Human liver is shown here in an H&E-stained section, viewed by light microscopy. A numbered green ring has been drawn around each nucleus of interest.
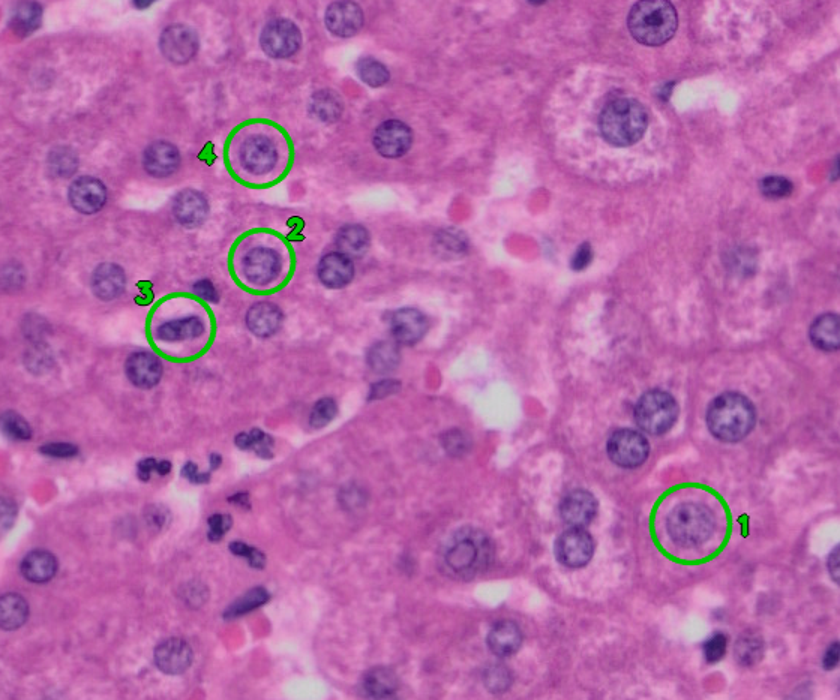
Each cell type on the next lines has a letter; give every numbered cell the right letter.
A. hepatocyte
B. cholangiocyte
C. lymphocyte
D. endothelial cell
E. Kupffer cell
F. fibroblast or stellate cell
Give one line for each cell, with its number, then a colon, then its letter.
1: A
2: A
3: E
4: A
